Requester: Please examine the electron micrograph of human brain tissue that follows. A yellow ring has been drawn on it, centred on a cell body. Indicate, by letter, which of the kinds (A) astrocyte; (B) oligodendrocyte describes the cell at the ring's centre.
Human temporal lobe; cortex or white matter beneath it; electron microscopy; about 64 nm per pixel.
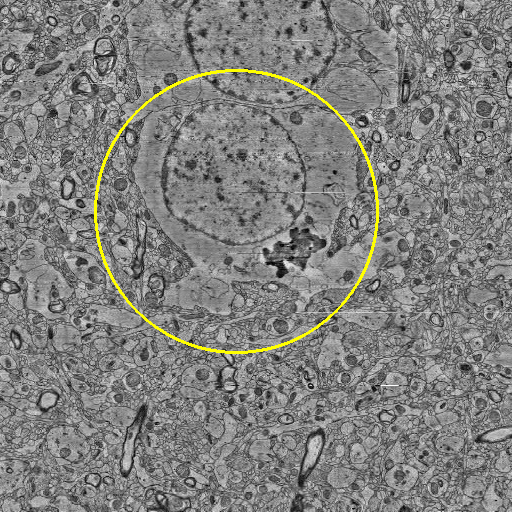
A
